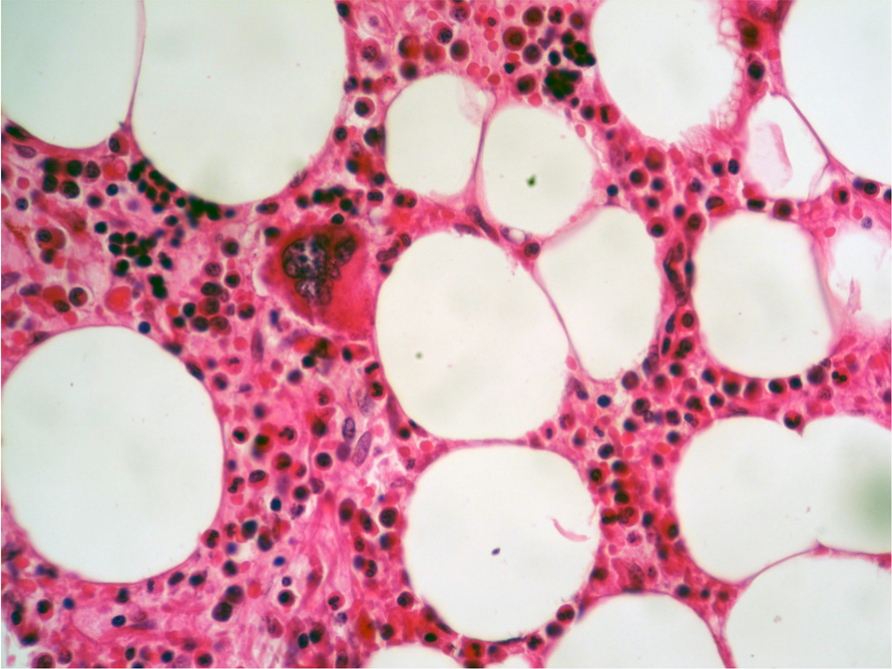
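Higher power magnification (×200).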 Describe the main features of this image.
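Blood-forming marrow tissue lies in cords and sheets between many large, round, clear fat cells. Left of centre is a single very large cell with abundant pink cytoplasm and a large, lobulated, dark nucleus, typical of a megakaryocyte. Around it are crowded small round cells. Many of these have dense, dark, round nuclei, as erythroid precursors do, and others have paler or irregular nuclei, as granulocytic precursors do, set in pink stroma.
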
